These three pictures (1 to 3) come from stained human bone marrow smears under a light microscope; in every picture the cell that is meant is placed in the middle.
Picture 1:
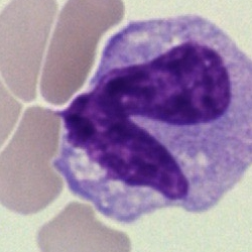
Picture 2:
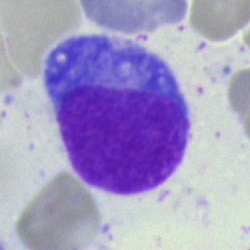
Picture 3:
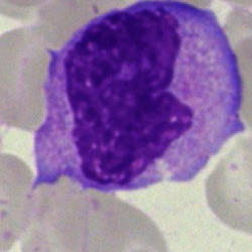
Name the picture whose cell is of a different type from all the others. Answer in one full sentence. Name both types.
Unlike the rest, which show monocytes, picture 2 shows a blast.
